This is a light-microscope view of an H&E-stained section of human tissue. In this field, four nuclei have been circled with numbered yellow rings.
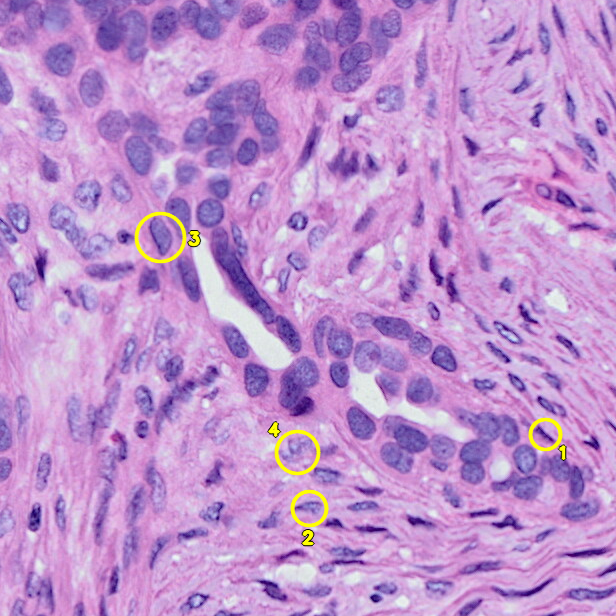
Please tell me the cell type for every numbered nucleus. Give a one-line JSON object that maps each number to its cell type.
{"1": "fibroblast", "2": "fibroblast", "3": "carcinoma cell", "4": "fibroblast"}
